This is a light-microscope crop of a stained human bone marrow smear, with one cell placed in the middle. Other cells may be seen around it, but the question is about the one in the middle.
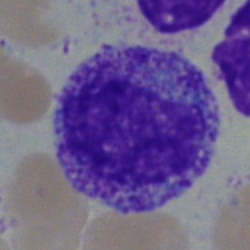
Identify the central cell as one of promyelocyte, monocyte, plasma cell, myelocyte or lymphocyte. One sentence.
In the centre of this crop there is a myelocyte.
